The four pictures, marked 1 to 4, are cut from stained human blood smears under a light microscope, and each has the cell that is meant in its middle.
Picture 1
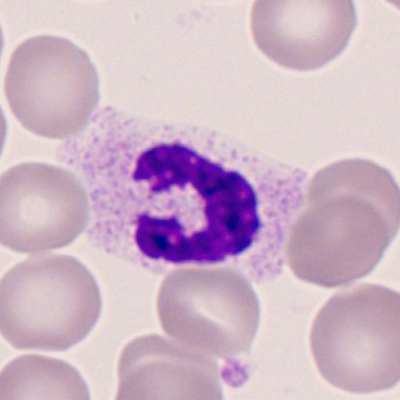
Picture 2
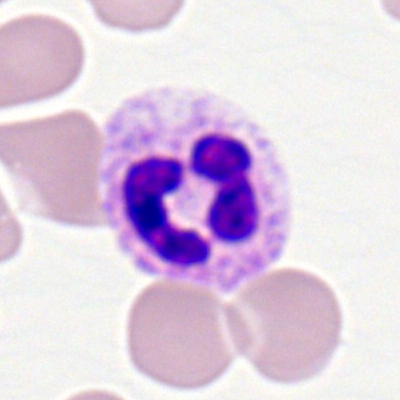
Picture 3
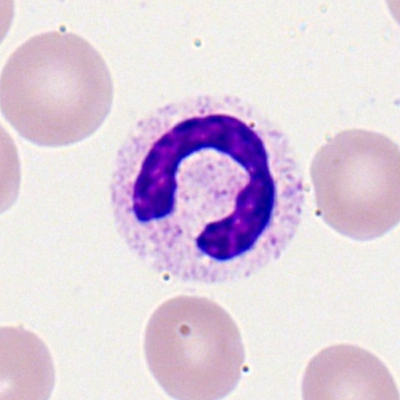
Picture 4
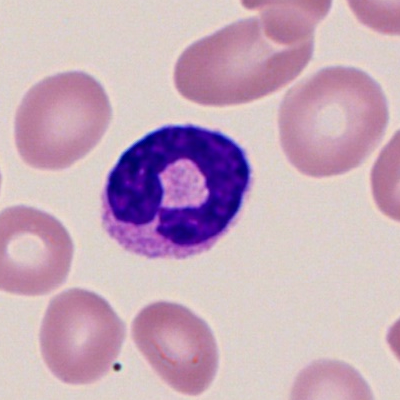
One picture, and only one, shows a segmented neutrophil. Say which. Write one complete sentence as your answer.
The cell in picture 2 is the segmented neutrophil.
